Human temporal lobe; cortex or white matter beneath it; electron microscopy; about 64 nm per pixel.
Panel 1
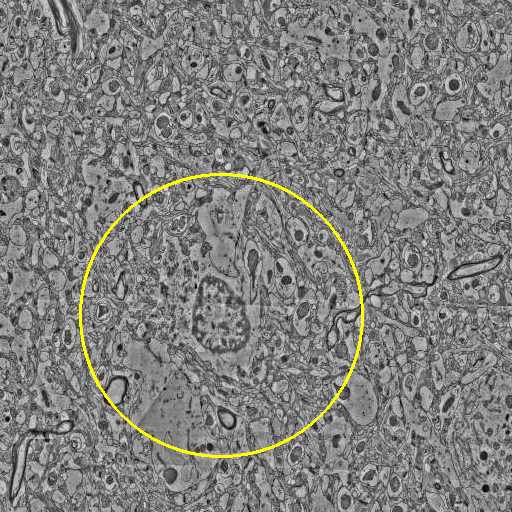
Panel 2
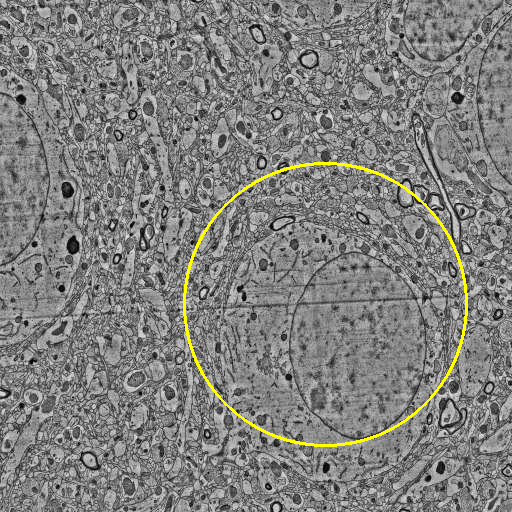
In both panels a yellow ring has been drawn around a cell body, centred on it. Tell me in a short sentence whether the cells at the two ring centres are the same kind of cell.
No, they are two kinds of cell.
